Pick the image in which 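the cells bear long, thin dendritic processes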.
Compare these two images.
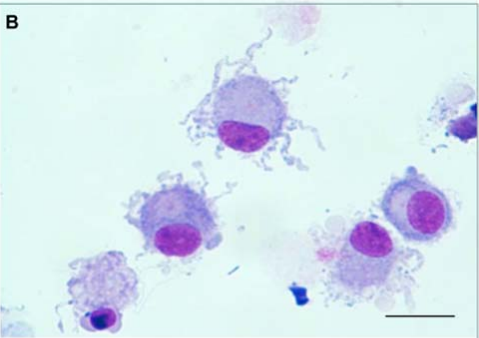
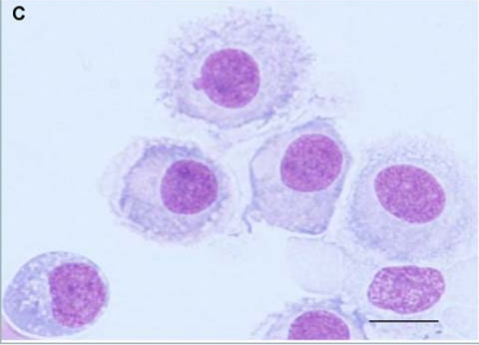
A: the first image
